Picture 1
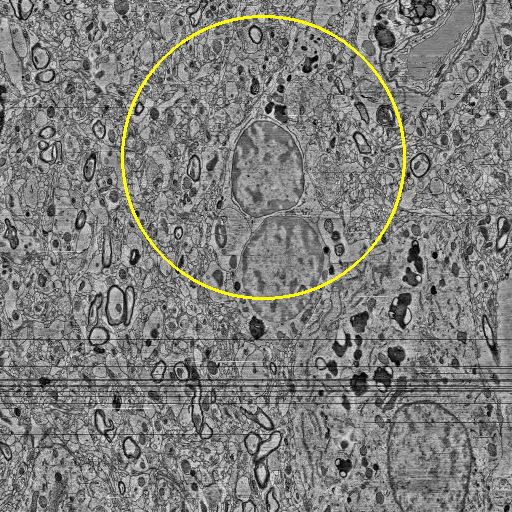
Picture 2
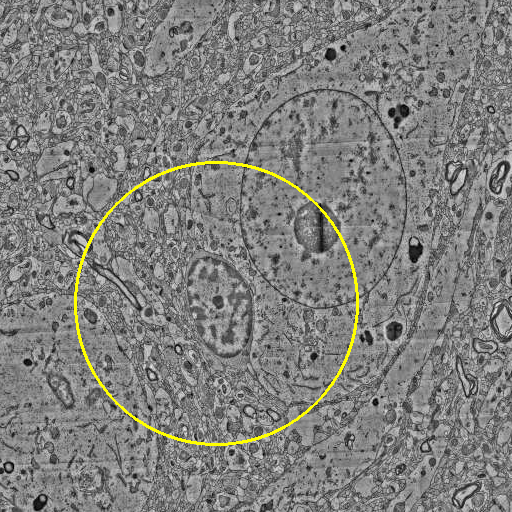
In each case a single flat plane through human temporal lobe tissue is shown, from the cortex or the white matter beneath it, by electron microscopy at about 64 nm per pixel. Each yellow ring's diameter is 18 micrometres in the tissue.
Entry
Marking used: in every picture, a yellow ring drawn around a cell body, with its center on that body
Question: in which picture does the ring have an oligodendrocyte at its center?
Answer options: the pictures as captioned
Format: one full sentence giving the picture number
Picture 2 is where the ring's center falls on the requested cell.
